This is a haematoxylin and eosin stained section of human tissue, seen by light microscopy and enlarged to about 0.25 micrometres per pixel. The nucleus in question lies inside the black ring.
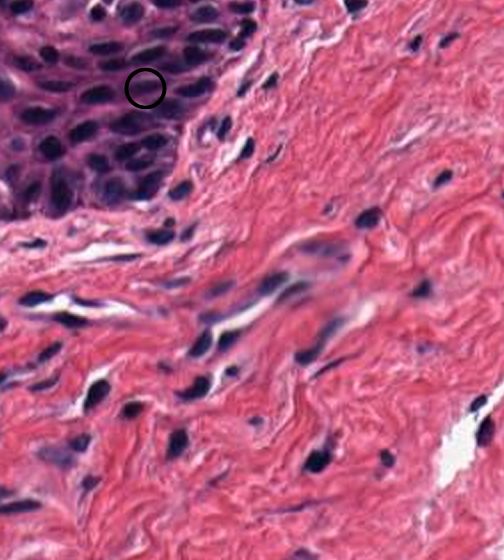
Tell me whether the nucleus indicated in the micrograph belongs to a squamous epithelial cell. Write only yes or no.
yes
